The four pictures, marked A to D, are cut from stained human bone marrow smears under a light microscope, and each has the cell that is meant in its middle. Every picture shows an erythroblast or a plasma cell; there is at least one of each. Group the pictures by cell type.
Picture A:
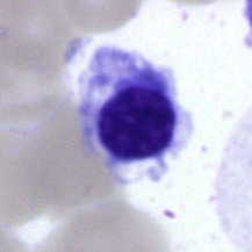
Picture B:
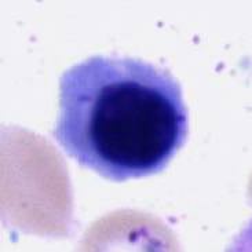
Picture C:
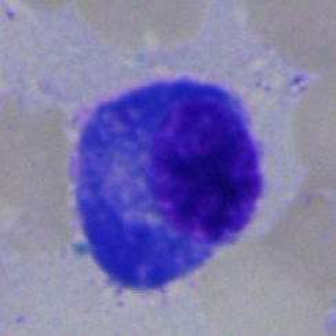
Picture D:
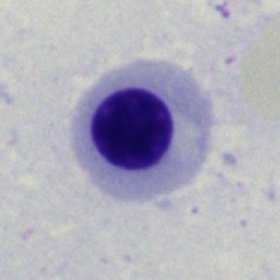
A: erythroblast
B: erythroblast
C: plasma cell
D: erythroblast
